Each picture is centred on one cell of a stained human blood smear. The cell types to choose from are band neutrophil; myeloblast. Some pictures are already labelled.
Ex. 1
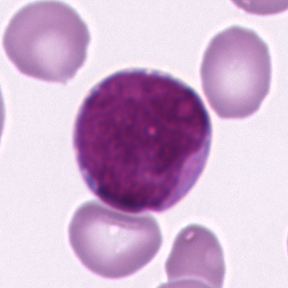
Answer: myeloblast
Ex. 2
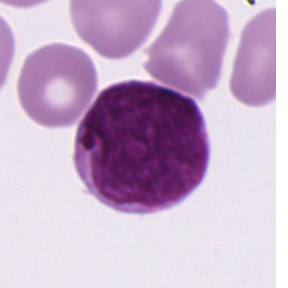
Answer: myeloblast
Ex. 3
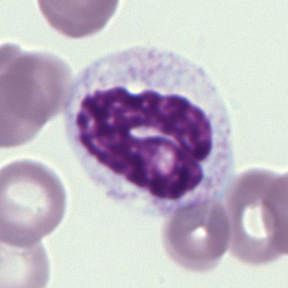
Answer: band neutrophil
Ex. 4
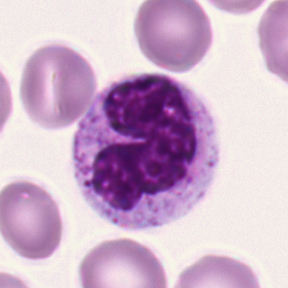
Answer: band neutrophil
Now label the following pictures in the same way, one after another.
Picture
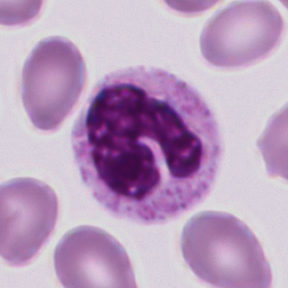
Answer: band neutrophil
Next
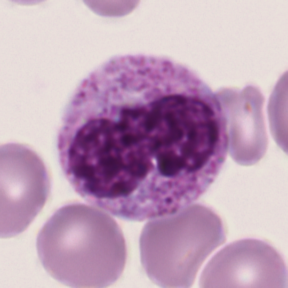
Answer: band neutrophil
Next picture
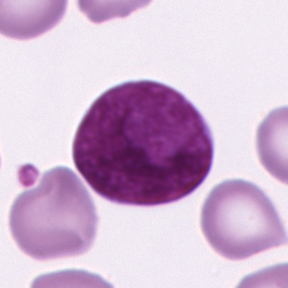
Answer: myeloblast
